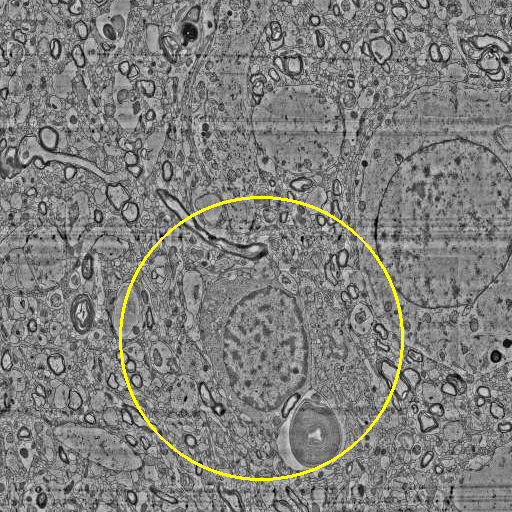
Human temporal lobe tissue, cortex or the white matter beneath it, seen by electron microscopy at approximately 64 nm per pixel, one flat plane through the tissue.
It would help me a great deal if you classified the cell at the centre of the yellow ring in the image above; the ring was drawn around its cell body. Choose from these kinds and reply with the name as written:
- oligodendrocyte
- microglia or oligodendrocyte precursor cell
oligodendrocyte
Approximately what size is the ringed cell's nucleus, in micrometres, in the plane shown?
In this plane the nucleus is about 8 micrometres by 5.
